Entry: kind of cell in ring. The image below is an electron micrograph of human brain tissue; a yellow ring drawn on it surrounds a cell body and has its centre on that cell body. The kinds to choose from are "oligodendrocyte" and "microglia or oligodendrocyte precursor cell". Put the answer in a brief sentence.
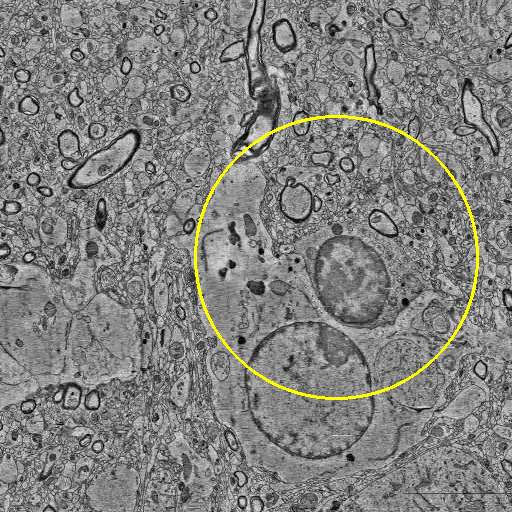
The ring has been drawn around an oligodendrocyte.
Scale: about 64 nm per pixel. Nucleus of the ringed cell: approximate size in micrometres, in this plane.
Roughly 6 by 5 micrometres in this plane, for the nucleus of the ringed cell.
